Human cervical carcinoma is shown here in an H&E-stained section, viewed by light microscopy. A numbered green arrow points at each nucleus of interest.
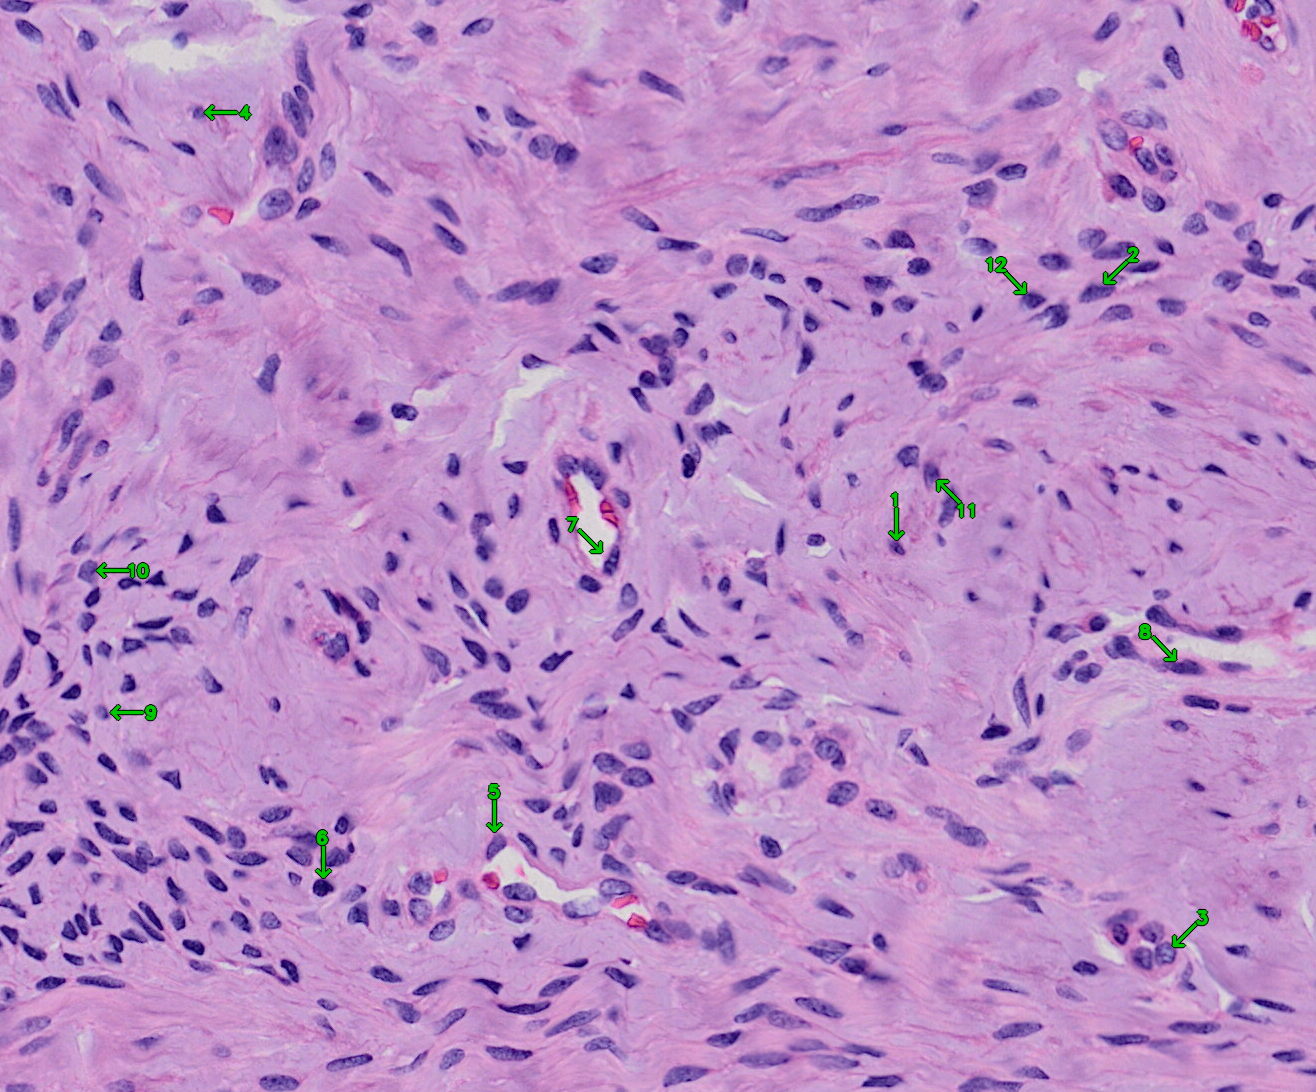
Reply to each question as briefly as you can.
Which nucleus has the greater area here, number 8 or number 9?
8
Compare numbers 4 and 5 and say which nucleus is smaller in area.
4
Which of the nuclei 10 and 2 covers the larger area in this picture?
2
